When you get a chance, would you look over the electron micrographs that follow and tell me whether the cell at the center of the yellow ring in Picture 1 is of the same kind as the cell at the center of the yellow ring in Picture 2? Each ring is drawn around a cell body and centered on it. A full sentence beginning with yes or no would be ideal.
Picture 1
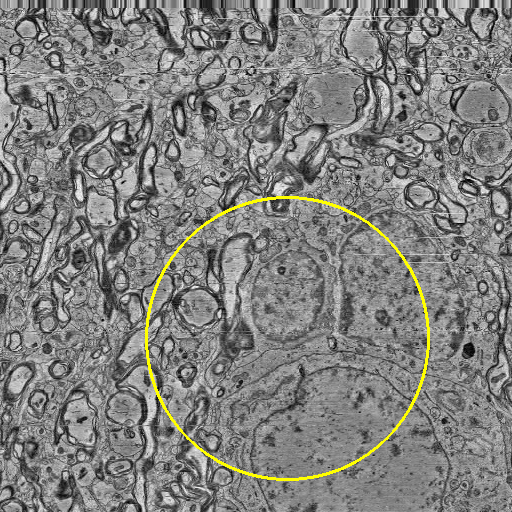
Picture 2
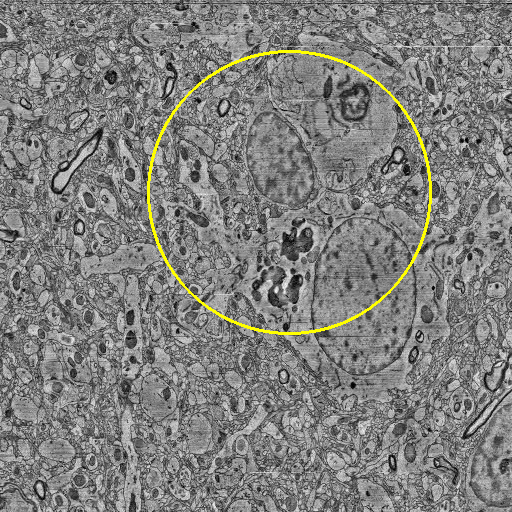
Yes, the two cells are of the same kind.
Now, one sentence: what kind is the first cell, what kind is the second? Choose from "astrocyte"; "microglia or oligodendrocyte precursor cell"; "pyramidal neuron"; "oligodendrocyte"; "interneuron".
In each of the two pictures, the ringed cell is an oligodendrocyte.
